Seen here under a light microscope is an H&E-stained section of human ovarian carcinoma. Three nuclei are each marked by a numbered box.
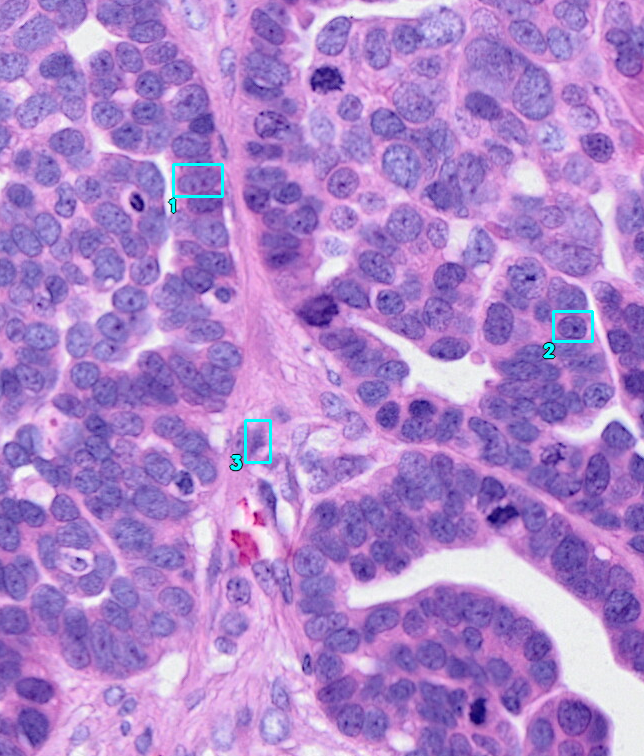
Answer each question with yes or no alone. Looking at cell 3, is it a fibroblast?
yes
